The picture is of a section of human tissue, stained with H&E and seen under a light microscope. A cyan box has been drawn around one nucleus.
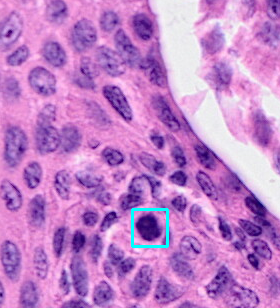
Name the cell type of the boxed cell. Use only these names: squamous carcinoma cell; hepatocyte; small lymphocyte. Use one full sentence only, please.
With respect to cell type, the boxed cell is a squamous carcinoma cell.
